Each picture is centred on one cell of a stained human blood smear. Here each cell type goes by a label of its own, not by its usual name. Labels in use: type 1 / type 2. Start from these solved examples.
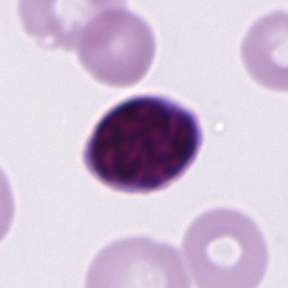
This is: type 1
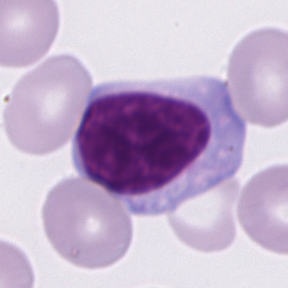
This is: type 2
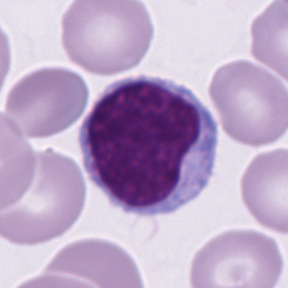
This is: type 2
